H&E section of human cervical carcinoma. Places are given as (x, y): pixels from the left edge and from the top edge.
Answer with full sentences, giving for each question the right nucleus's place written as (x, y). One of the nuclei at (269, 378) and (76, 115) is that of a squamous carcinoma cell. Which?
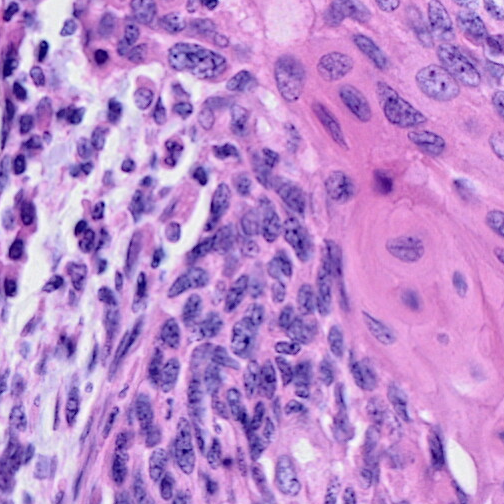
Of the pair, the nucleus positioned at (269, 378) is that of a squamous carcinoma cell.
